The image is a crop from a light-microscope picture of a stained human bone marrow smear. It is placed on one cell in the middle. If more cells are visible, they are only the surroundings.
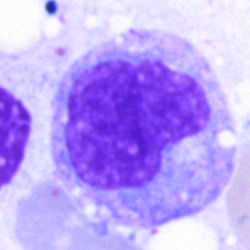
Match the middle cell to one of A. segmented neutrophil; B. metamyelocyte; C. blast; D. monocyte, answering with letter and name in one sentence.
Option D is the correct option, with the middle cell being a monocyte.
